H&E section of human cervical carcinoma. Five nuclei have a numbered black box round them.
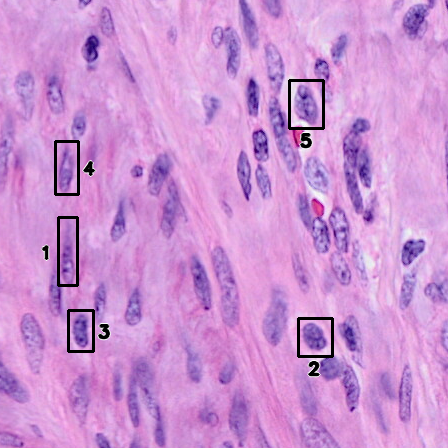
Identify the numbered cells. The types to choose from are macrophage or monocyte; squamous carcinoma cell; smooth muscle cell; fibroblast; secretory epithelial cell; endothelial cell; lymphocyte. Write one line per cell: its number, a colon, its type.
1: smooth muscle cell
2: lymphocyte
3: lymphocyte
4: smooth muscle cell
5: endothelial cell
